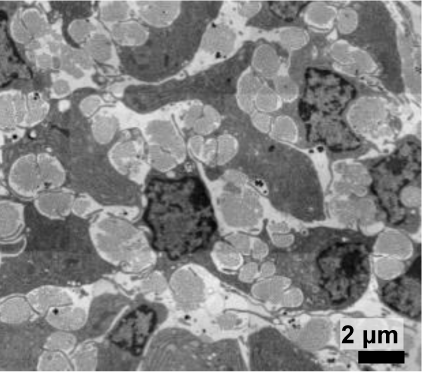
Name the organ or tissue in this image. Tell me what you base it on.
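Tendons. Cells with irregular dark nuclei and slender cytoplasmic extensions. Rounded grey bundles of finely textured matrix lie between the cells.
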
